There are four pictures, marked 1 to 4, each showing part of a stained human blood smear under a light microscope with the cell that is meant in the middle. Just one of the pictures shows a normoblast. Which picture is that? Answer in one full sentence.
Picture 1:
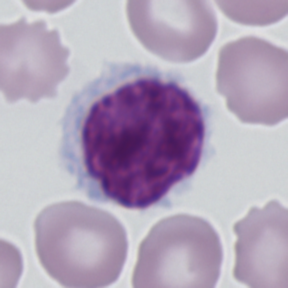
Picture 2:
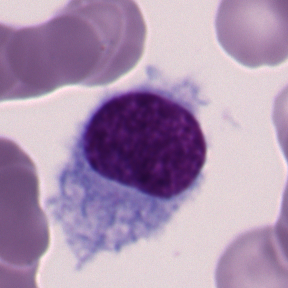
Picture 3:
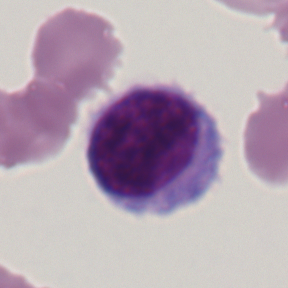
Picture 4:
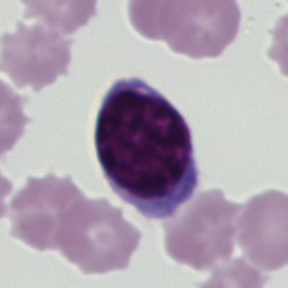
Picture 4 is the one that shows the normoblast.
